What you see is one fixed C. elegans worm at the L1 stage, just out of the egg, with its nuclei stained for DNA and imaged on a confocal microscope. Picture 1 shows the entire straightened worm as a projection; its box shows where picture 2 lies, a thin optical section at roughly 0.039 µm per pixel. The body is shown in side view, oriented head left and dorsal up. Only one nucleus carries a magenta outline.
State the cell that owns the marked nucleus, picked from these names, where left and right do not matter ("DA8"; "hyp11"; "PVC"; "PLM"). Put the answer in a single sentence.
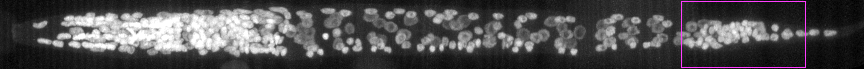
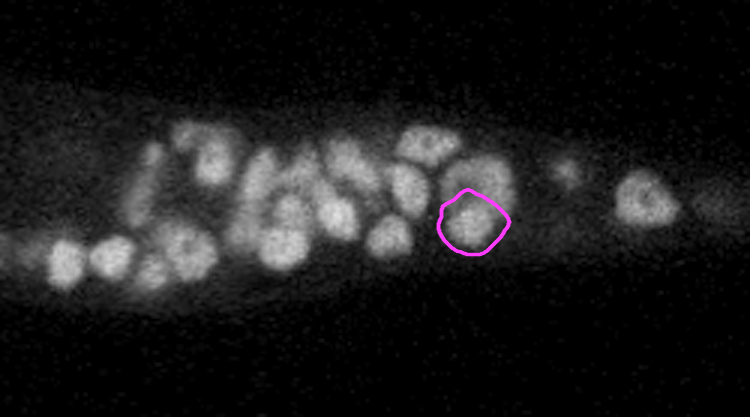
This is the nucleus of PLM, a neuron.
